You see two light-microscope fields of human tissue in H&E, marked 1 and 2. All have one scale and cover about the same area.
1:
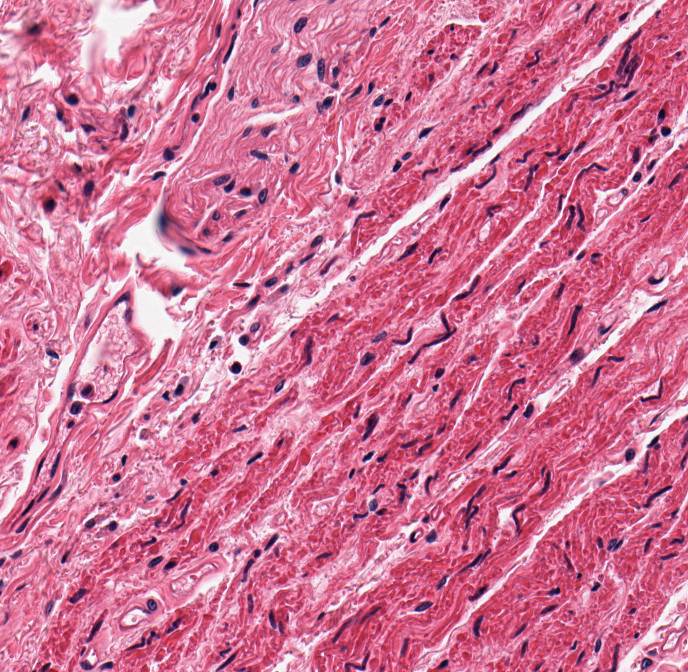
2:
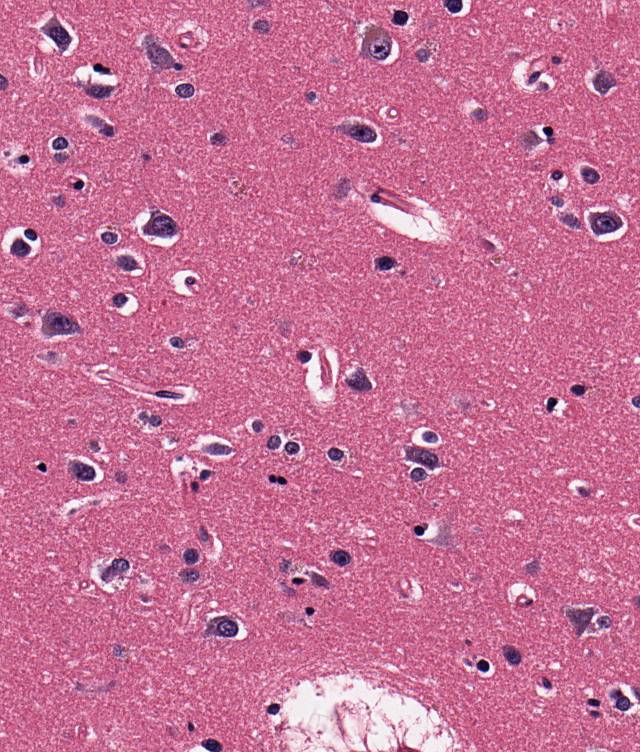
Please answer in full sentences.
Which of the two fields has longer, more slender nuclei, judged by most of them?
On the whole the nuclei of field 1 are more drawn out than those of field 2.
